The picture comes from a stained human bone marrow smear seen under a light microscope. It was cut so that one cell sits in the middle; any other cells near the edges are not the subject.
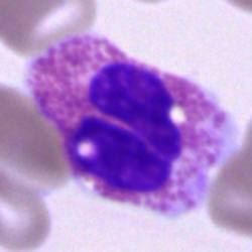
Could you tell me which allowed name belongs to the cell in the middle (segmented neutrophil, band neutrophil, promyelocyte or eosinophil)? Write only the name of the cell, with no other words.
eosinophil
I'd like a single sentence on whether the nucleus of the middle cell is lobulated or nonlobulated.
Nuclear material here is separated into two or more segments.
